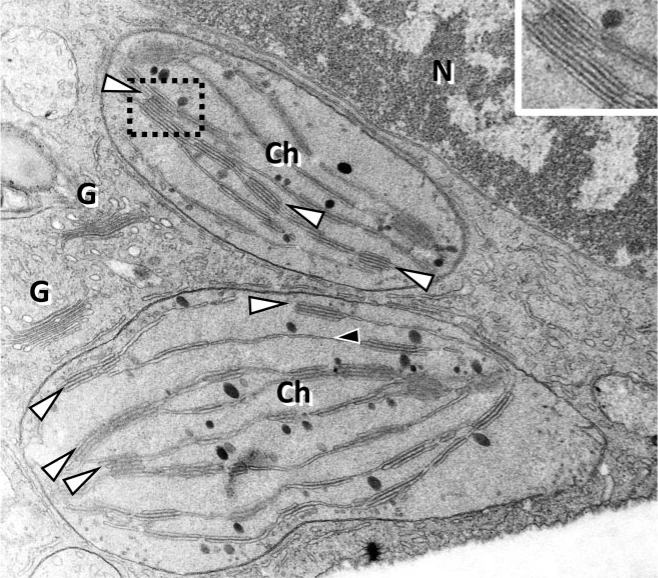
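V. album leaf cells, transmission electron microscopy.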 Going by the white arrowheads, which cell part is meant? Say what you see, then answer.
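Grana. The white arrowheads point to short dark bands made of several parallel membranes lying tightly stacked. These stacks lie inside the elongated organelles bounded by a double envelope. The inset shows the boxed stack enlarged with multiple parallel layers.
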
